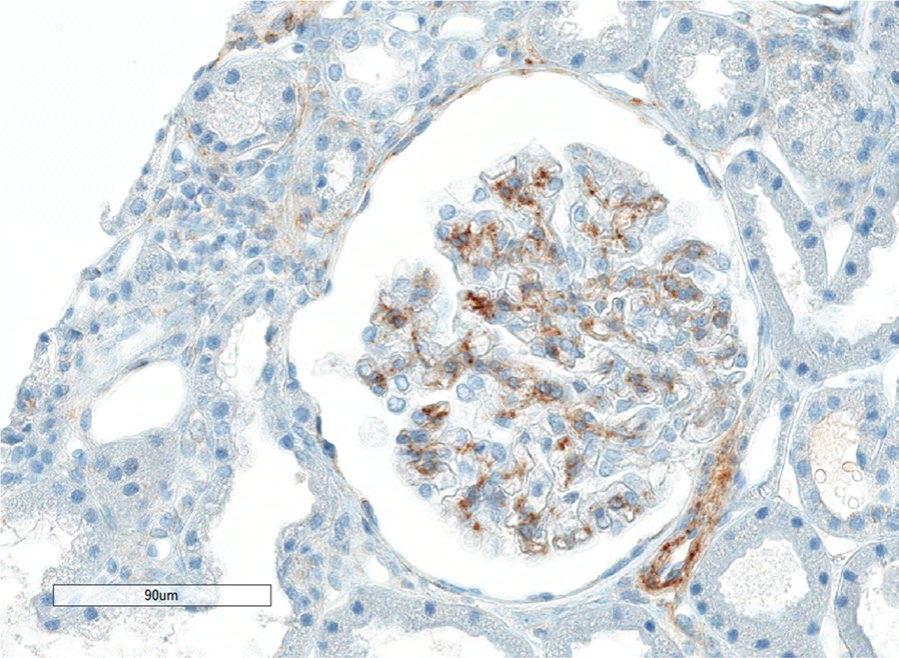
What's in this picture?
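Kidney cortex with a single glomerulus at the centre, surrounded by a clear Bowman's space and a thin capsule. Within the lobulated glomerular tuft, coarse brown granular deposits lie mainly in the central stalk regions between the open capillary loops, with occasional brown granules along loop walls. Nuclei throughout are pale blue. Around the glomerulus lie cross-sectioned tubules lined by cuboidal epithelium with round blue nuclei, some with a fuzzy luminal border and granular lumen contents. A small vessel at the lower right edge of the capsule shows brown staining of its wall. To the left, the interstitium holds a cluster of closely packed small cells.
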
